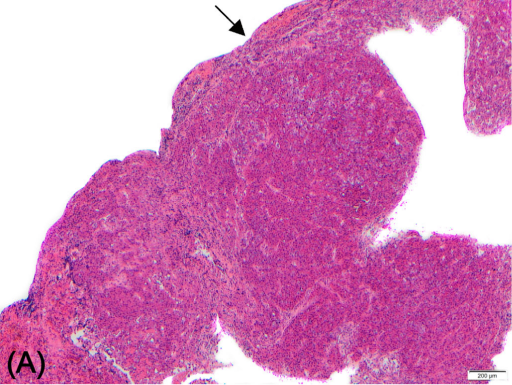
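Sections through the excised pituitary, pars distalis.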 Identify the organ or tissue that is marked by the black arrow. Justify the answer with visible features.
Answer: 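Adjacent nonneoplastic parenchyma. The arrow points to a thin rim of tissue at the edge of a large cellular mass. The rim is pressed flat along the mass's border.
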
